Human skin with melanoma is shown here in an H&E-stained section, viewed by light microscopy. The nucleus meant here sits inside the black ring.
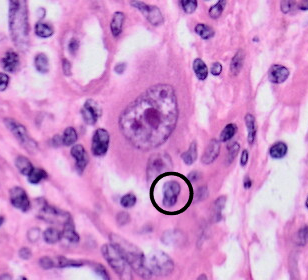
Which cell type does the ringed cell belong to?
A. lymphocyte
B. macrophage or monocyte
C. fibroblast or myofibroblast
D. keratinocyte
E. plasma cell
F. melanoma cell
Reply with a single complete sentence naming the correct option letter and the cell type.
The correct option is A, as the ringed cell is a lymphocyte.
